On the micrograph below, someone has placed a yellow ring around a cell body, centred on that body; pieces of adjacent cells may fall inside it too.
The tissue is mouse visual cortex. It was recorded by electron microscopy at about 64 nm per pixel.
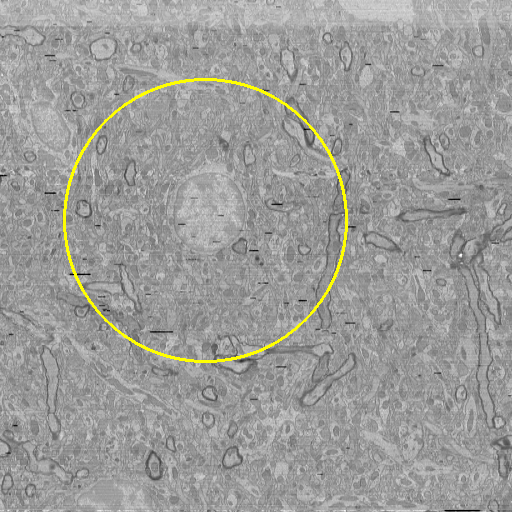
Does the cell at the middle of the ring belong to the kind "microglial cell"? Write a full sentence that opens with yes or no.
No, the micrograph shows another kind of cell at the ring's centre.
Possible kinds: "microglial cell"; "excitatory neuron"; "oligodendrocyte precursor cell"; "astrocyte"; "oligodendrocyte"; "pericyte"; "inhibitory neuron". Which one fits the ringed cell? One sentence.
The cell ringed in the picture is an oligodendrocyte.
